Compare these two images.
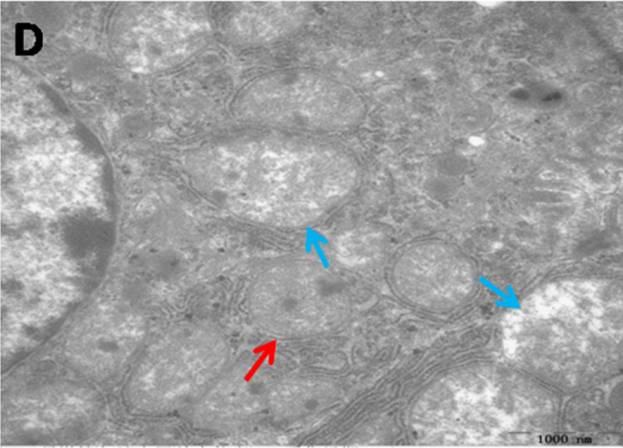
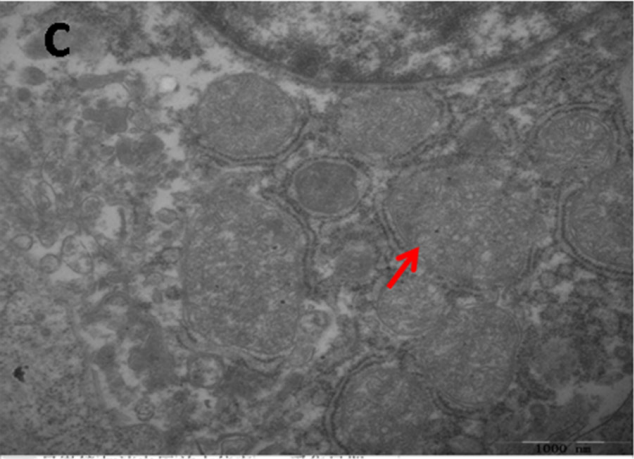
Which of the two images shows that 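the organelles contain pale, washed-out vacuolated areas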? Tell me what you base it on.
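Second image: the rounded organelles have an evenly granular, moderately dense matrix. First image: several rounded organelles show large pale, electron-lucent areas in their matrix. The answer: the first image.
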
